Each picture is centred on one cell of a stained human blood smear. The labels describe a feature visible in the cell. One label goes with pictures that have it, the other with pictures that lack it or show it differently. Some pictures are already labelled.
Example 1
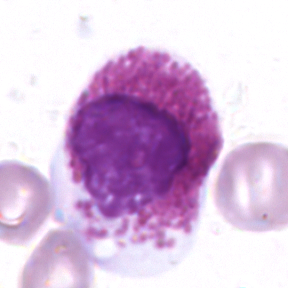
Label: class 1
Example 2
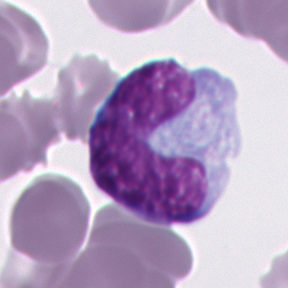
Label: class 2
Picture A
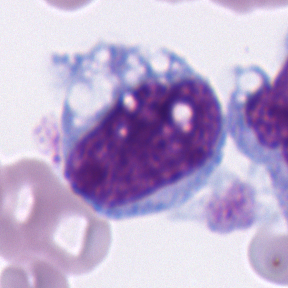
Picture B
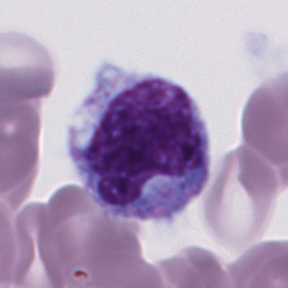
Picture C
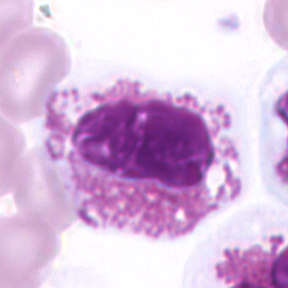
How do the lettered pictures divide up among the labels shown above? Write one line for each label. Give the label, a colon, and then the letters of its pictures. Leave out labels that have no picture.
class 1: A, B, C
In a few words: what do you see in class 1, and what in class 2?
class 1: round or oval nucleus; class 2: band-shaped nucleus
